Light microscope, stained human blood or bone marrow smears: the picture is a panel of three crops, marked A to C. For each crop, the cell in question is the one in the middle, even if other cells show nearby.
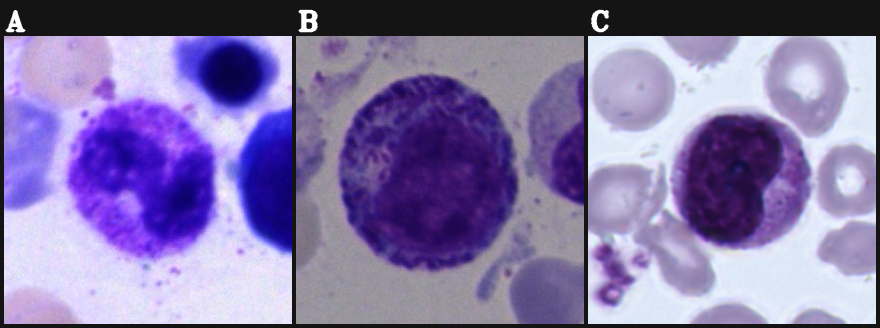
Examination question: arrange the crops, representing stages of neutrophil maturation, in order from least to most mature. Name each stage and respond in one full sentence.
So the order, from least to most mature, is crop B (a promyelocyte), crop C (a metamyelocyte) and crop A (a segmented neutrophil).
